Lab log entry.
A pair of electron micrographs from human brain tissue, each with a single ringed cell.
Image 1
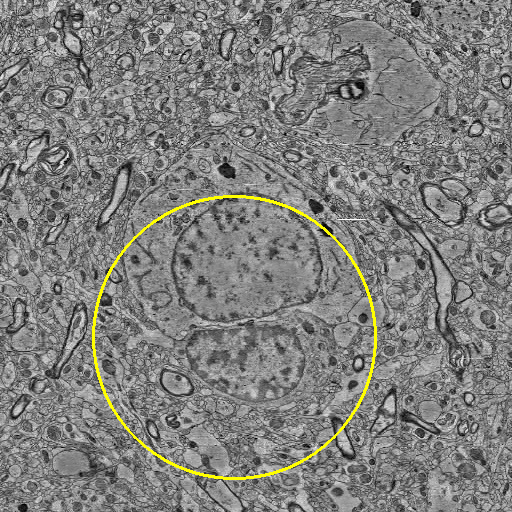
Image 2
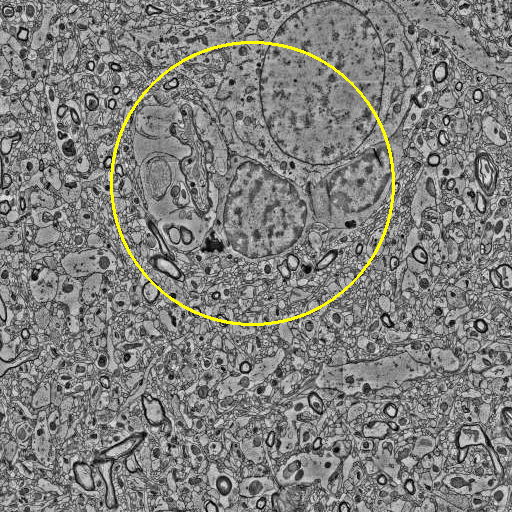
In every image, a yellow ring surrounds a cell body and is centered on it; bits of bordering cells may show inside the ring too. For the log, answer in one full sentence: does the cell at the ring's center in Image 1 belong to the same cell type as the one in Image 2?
Yes, the cells at the ring centers in Image 1 and Image 2 share one type.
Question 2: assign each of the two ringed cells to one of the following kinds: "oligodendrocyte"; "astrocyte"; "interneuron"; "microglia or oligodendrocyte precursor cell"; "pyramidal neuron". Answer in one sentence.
In the first picture and in the second, the ring is centred on an oligodendrocyte.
